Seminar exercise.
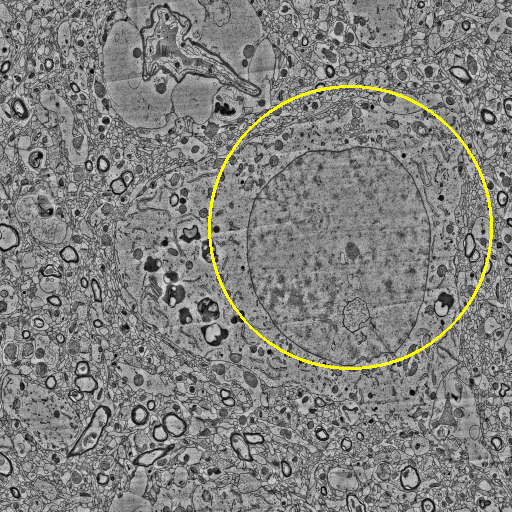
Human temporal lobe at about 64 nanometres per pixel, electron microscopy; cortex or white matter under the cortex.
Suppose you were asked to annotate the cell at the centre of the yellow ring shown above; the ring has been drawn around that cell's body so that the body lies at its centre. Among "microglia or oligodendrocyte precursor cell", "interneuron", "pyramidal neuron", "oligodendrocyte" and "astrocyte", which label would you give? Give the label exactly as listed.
pyramidal neuron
